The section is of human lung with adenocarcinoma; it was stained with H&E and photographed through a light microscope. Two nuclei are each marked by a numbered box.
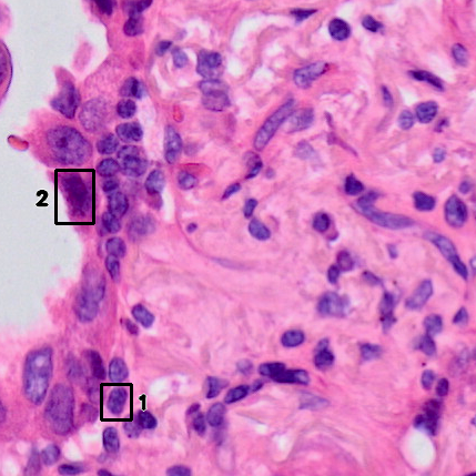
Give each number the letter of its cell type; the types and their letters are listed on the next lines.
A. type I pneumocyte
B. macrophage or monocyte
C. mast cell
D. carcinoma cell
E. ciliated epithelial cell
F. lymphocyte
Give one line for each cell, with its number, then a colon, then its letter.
1: F
2: D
